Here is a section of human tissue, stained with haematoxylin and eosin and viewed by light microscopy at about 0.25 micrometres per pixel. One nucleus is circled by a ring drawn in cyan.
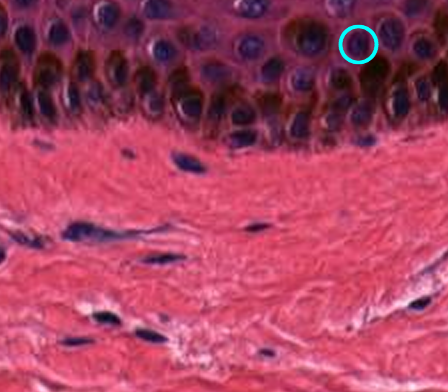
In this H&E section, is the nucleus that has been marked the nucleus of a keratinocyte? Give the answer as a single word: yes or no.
yes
